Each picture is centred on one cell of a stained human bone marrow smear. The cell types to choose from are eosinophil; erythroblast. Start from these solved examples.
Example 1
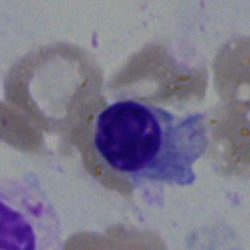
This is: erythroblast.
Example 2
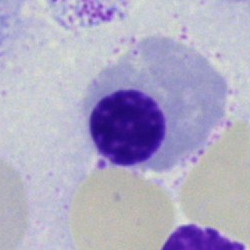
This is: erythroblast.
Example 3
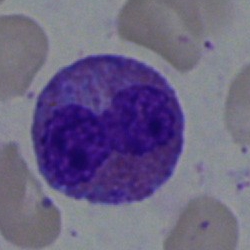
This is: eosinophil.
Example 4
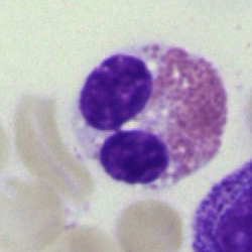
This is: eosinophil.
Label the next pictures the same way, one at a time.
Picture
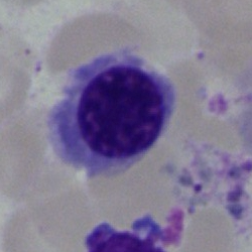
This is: erythroblast.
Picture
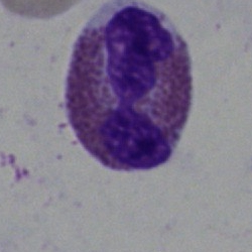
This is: eosinophil.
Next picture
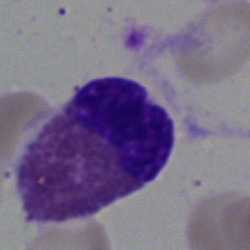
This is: eosinophil.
